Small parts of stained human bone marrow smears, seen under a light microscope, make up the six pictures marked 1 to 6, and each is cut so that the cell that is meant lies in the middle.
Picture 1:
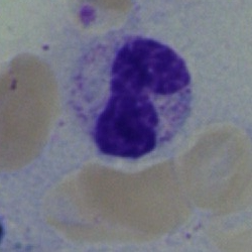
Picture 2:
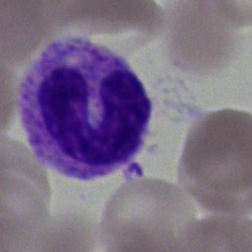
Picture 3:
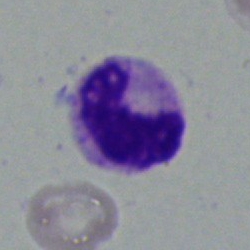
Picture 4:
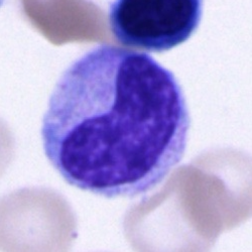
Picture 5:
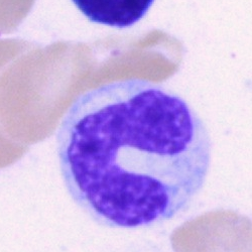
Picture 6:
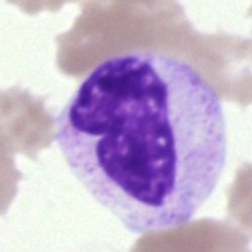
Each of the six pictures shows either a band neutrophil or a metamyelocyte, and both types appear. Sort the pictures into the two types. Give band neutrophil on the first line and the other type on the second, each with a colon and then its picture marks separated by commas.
band neutrophil: 1, 2, 3, 5
metamyelocyte: 4, 6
